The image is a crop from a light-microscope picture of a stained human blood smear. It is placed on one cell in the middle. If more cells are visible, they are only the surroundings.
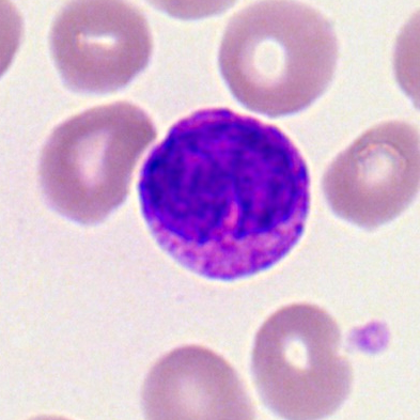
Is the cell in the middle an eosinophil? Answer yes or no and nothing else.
no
